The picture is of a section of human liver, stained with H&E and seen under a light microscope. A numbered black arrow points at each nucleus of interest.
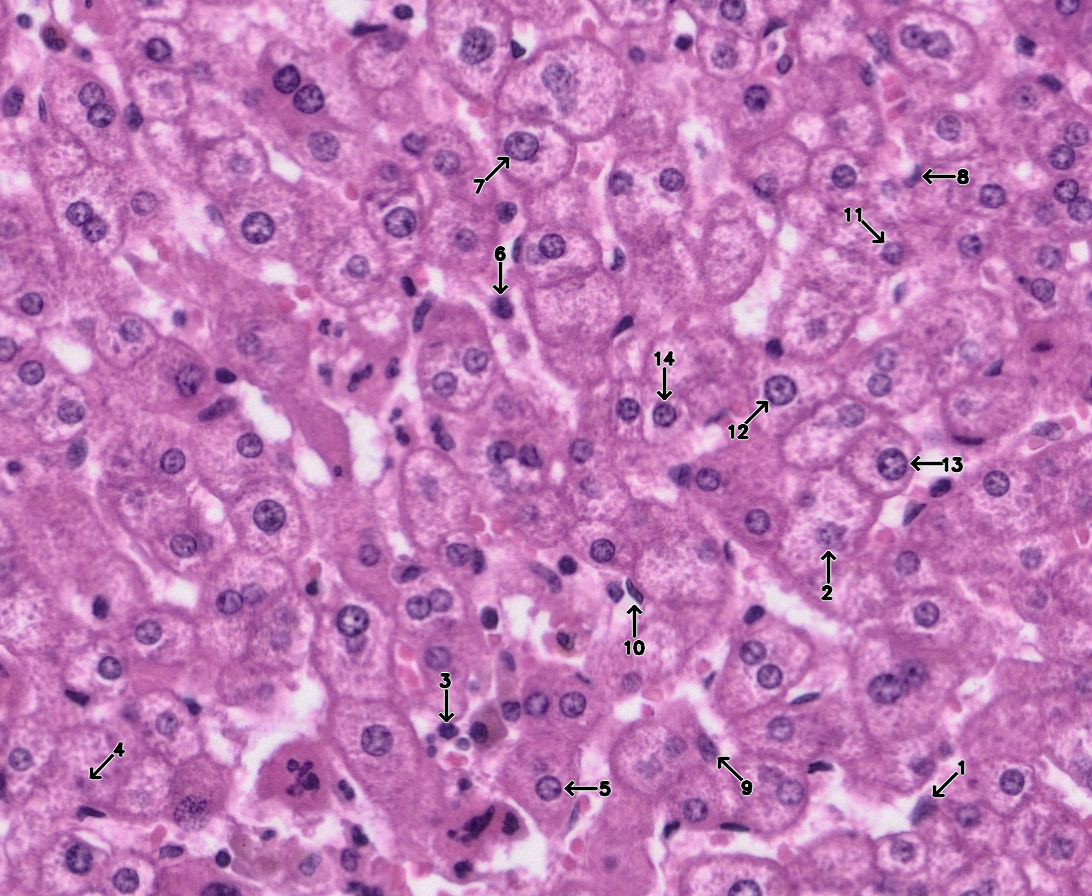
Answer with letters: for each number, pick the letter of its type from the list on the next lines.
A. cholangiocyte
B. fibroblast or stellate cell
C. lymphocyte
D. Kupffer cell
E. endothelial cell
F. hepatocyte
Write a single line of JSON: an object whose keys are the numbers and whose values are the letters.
{"1": "E", "2": "F", "3": "C", "4": "F", "5": "F", "6": "D", "7": "F", "8": "E", "9": "D", "10": "E", "11": "F", "12": "F", "13": "F", "14": "F"}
